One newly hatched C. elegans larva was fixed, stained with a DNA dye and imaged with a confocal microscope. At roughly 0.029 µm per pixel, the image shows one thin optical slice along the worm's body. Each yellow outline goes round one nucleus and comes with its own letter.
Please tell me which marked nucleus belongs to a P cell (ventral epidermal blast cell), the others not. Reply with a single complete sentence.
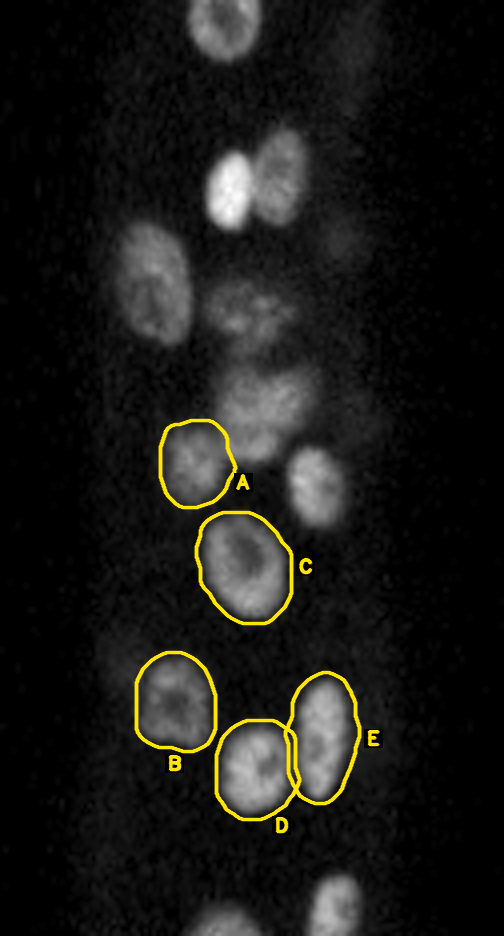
The one from a P cell (ventral epidermal blast cell) is D.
